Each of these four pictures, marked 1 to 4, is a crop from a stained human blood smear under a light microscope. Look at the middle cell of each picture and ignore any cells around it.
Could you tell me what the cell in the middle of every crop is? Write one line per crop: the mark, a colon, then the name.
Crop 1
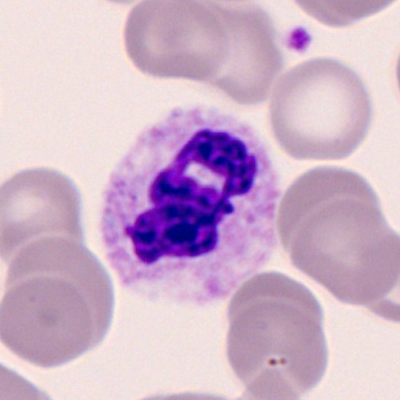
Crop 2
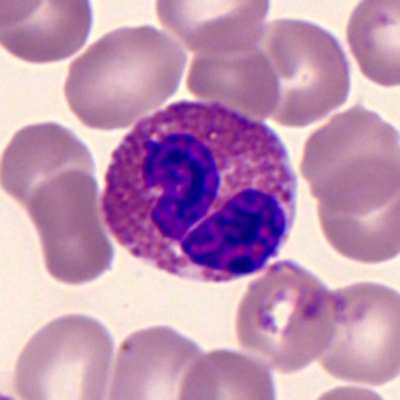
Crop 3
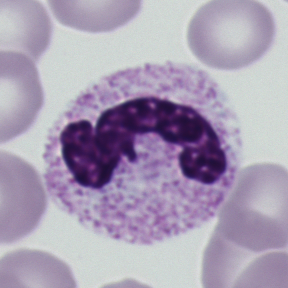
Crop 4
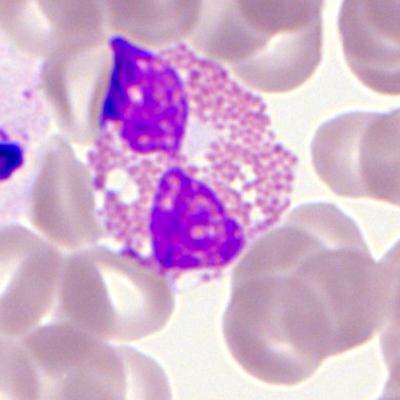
1: segmented neutrophil
2: eosinophil
3: segmented neutrophil
4: eosinophil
